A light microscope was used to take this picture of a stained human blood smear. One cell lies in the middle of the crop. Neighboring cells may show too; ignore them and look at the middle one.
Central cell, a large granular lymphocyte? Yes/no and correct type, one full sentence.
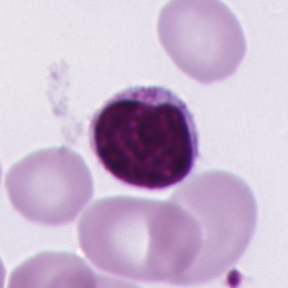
Yes, the cell positioned at the centre of the crop is a large granular lymphocyte.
